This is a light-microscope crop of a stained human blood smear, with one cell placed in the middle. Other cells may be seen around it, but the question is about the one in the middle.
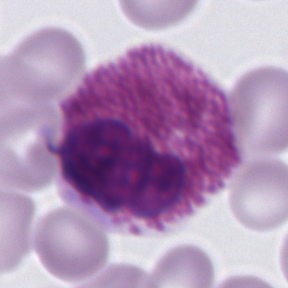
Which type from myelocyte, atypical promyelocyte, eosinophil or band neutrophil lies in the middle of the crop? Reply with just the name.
eosinophil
